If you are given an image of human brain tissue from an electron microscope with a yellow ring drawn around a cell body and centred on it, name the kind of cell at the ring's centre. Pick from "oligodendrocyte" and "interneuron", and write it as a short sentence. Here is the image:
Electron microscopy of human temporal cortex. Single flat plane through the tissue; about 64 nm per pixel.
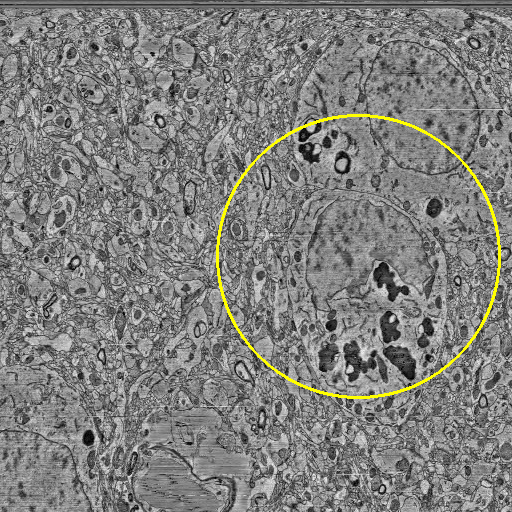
The cell at the ring's centre is an interneuron.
